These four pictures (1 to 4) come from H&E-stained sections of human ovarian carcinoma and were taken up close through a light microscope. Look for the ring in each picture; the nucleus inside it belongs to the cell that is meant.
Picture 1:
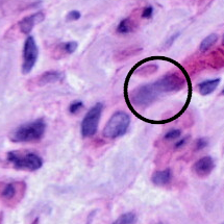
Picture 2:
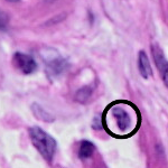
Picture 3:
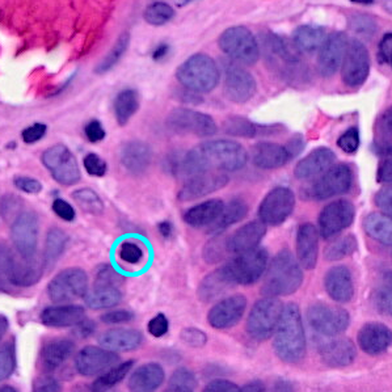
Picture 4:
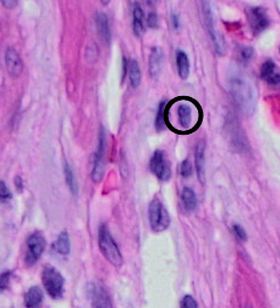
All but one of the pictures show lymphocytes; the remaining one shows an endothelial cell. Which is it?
1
